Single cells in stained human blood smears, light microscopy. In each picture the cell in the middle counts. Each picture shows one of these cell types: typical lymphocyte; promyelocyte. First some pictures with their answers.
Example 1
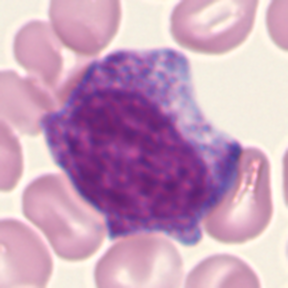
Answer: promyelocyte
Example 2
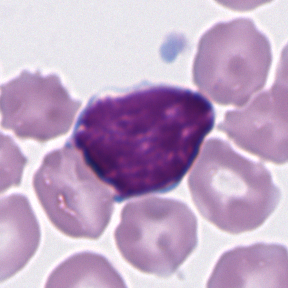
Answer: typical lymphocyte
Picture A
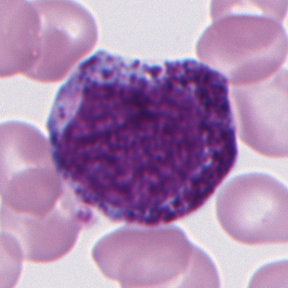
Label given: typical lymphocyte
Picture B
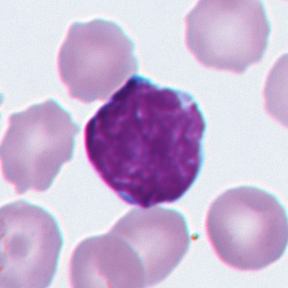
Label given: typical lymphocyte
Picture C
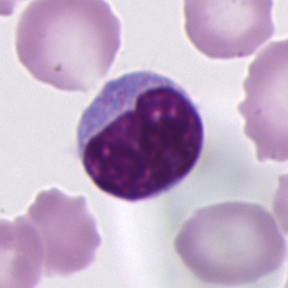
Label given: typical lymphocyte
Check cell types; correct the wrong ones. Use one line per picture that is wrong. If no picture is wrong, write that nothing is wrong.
Wrong: A (typical lymphocyte); correct: promyelocyte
